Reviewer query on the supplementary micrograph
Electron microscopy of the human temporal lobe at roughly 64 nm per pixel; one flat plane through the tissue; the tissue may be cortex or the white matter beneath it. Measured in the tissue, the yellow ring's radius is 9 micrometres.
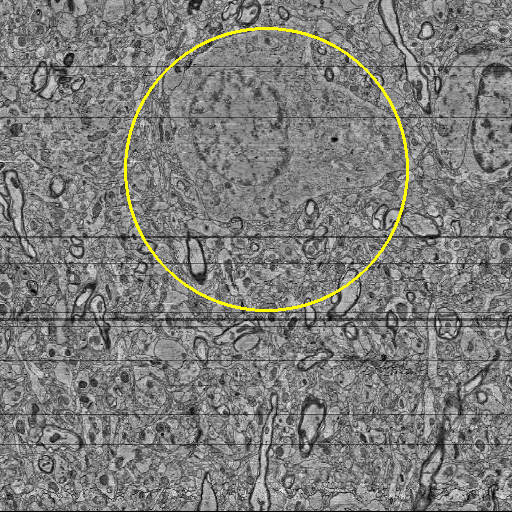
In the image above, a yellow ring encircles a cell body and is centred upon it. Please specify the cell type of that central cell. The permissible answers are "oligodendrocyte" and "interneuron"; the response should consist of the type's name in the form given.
interneuron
